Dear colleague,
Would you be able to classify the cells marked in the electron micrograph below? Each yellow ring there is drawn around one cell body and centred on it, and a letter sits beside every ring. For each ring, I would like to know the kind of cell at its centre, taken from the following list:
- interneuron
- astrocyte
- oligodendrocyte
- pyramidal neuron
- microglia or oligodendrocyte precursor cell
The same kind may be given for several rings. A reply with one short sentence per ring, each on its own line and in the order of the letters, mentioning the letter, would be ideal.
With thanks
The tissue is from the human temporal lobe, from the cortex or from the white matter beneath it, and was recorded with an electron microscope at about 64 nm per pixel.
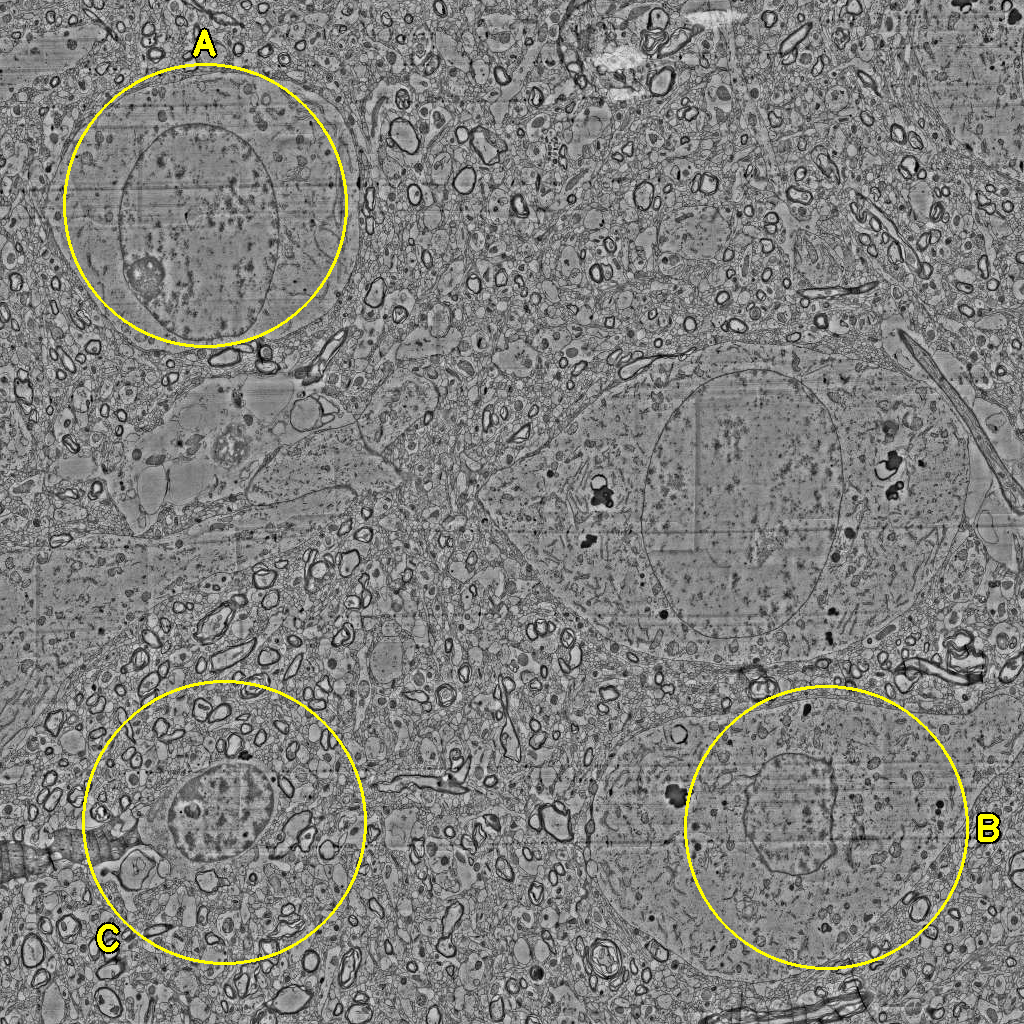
Ring A contains a pyramidal neuron at its centre.
Ring B contains a pyramidal neuron at its centre.
Ring C contains an oligodendrocyte at its centre.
